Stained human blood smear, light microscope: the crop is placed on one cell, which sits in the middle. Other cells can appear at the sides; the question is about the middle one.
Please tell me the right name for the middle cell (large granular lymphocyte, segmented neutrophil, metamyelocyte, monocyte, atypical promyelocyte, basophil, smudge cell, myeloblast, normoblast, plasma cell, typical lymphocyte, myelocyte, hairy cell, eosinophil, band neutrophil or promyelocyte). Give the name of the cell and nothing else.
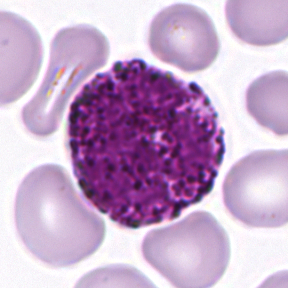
basophil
